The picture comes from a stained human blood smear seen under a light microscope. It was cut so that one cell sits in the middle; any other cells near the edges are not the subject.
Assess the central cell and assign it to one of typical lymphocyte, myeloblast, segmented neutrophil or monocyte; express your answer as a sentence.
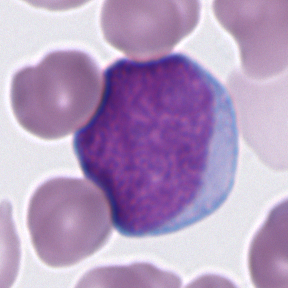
At the crop's centre, the cell is a myeloblast.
